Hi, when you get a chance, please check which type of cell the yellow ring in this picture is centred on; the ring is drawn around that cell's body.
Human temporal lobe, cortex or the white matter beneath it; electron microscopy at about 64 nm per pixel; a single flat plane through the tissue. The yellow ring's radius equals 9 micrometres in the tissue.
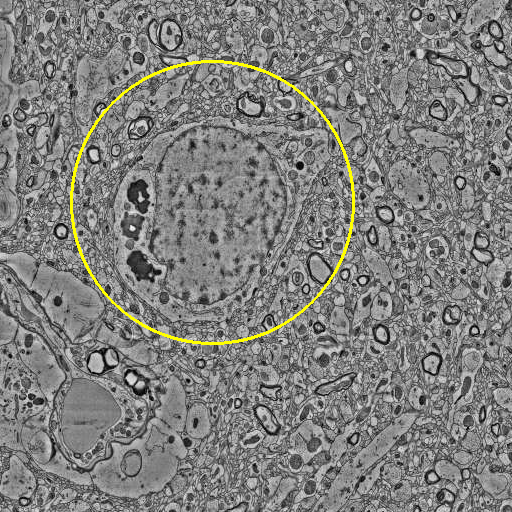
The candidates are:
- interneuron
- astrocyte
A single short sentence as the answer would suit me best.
The ring is drawn around the body of an interneuron.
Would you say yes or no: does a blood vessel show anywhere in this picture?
Yes, a vessel appears in the picture.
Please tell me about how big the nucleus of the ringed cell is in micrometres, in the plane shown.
In this plane the nucleus measures roughly 11 by 9 micrometres.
